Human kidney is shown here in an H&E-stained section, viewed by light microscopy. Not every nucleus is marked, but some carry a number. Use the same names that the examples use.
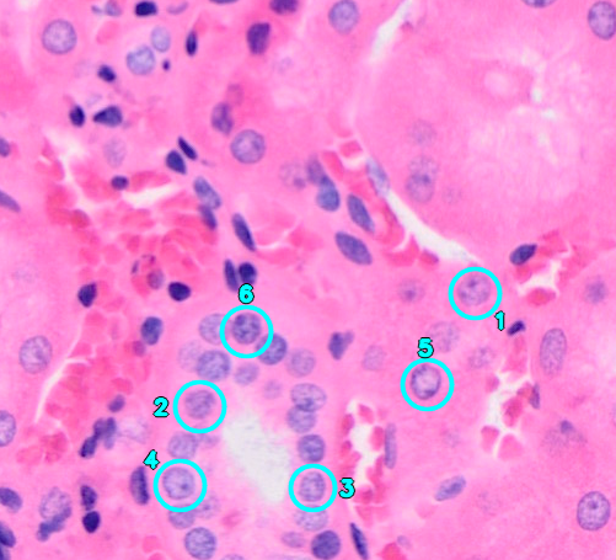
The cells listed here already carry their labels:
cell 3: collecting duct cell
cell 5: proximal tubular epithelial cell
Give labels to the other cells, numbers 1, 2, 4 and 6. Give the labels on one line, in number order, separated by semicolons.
proximal tubular epithelial cell; collecting duct cell; collecting duct cell; collecting duct cell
